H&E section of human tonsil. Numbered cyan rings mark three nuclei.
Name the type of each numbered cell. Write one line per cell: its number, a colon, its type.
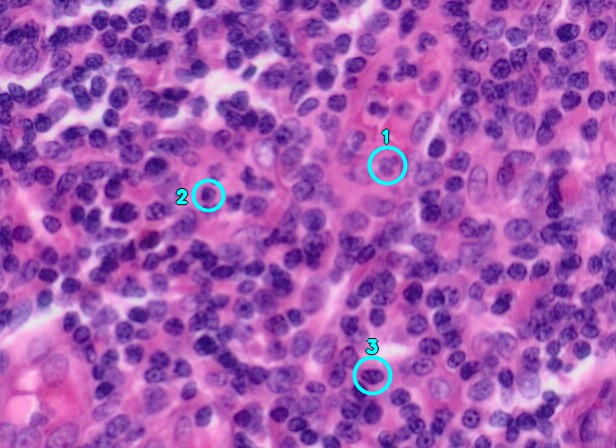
1: endothelial cell
2: endothelial cell
3: plasma cell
